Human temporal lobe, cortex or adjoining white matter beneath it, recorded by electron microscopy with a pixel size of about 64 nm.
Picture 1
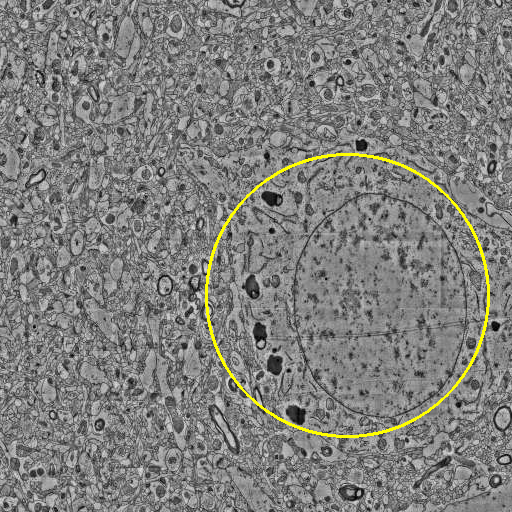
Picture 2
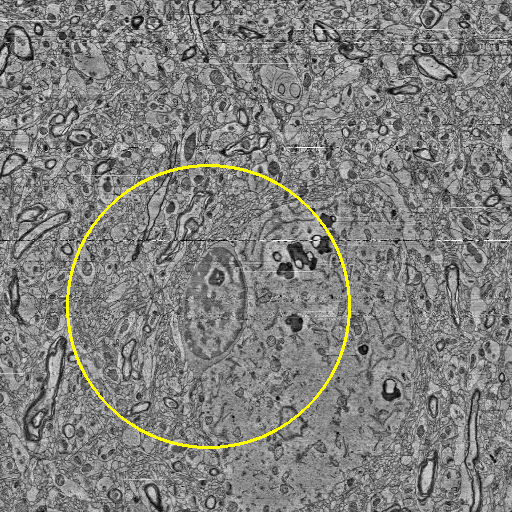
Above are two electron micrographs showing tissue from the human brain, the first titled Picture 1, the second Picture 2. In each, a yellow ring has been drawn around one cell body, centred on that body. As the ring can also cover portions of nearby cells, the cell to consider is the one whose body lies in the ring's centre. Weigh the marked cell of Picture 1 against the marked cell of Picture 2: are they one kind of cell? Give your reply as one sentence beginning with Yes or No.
No, the two cells sitting at the ring centres in the pictures are of two kinds.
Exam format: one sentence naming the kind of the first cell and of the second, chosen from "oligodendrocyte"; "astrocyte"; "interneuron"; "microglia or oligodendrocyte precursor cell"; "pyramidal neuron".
The first picture's cell is a pyramidal neuron, and the second picture's cell is an oligodendrocyte.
